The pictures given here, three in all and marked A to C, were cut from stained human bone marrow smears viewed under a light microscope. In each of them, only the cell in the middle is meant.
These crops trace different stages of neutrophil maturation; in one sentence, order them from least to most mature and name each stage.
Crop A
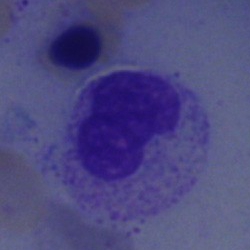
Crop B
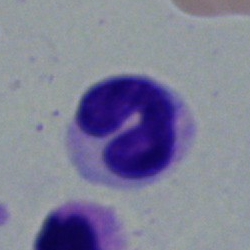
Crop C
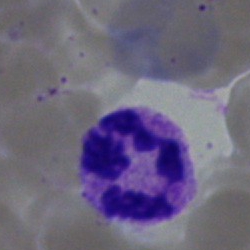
Maturity increases along the sequence crop A (a metamyelocyte), crop B (a band neutrophil) and crop C (a segmented neutrophil).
